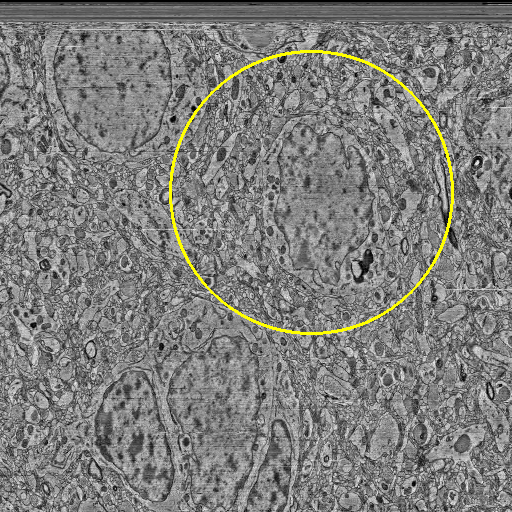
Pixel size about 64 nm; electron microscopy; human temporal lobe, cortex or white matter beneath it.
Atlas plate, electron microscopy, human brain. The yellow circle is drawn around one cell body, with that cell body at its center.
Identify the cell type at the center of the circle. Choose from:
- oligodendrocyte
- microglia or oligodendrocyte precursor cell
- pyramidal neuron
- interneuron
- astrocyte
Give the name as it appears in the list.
interneuron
